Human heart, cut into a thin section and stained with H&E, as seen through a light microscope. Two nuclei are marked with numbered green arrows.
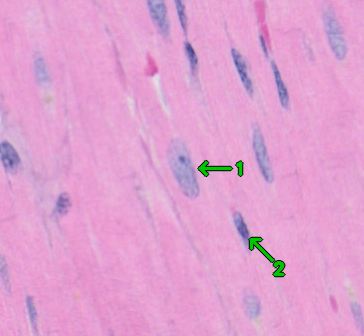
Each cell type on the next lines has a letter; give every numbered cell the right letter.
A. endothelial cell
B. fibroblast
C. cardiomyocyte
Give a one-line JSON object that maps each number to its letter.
{"1": "C", "2": "A"}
